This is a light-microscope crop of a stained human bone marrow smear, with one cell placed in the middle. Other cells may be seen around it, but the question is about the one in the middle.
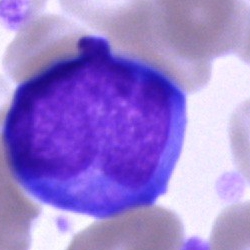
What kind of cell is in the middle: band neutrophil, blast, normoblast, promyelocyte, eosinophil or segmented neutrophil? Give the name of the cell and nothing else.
blast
